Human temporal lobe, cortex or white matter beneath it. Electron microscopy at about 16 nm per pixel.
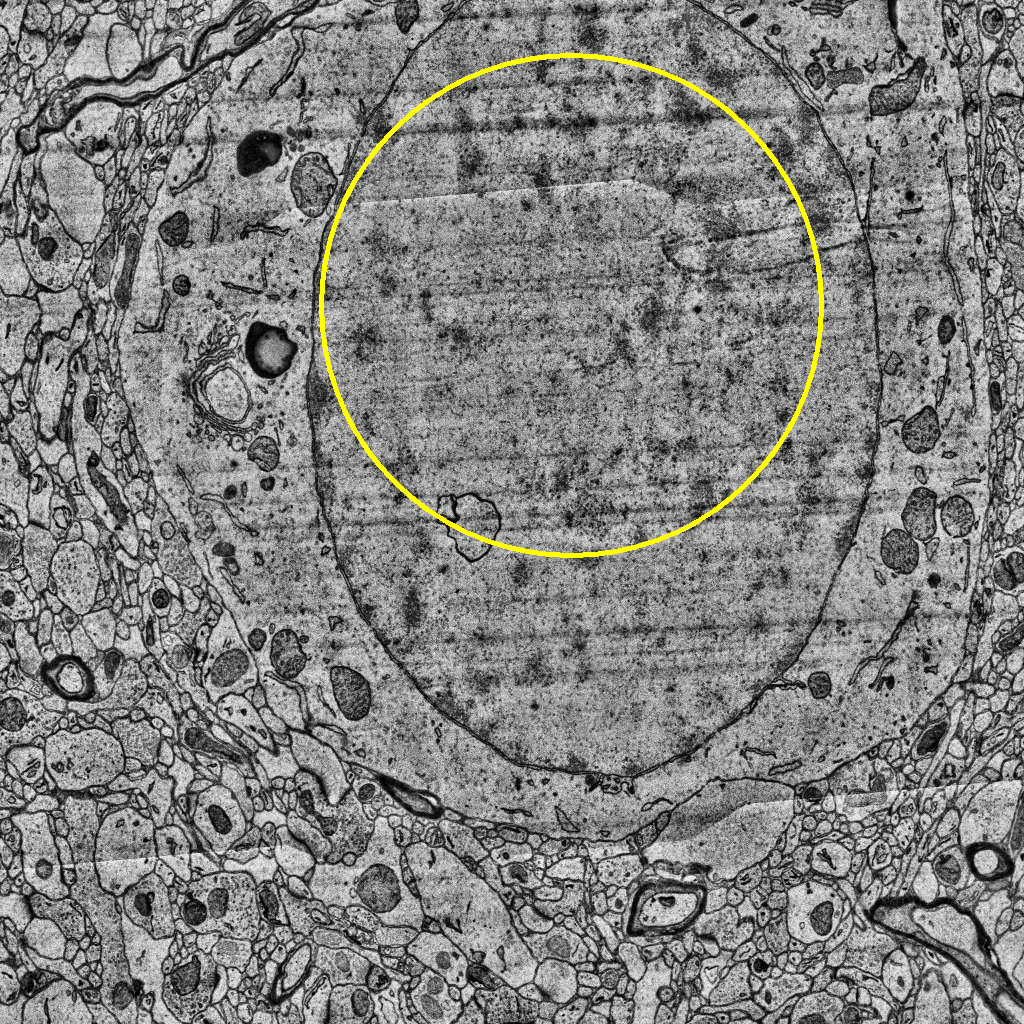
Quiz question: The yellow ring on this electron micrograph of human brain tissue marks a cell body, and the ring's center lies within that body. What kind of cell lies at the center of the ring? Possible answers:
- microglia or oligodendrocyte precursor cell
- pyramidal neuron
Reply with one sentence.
The ring's center lies on a pyramidal neuron.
